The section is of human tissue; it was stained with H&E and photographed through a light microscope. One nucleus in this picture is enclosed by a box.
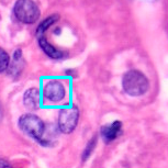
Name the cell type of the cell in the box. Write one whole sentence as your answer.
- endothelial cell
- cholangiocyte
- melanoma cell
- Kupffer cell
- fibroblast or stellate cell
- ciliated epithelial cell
Placed in its cell category, the cell in the box is a cholangiocyte.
